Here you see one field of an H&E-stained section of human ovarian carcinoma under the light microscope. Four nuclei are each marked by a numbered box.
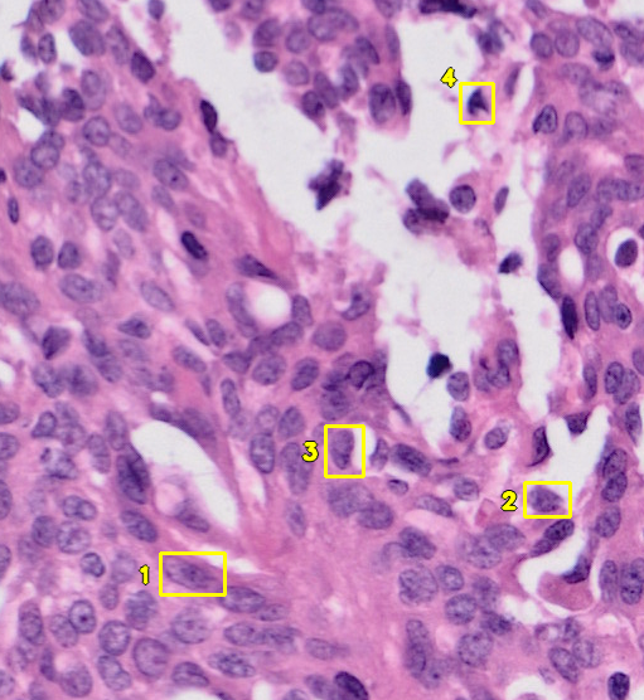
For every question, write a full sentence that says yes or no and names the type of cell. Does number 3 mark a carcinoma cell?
No, cell 3 does not represent a carcinoma cell; it represents a macrophage or monocyte.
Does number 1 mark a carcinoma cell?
Yes, the numbered nucleus 1 is that of a carcinoma cell.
